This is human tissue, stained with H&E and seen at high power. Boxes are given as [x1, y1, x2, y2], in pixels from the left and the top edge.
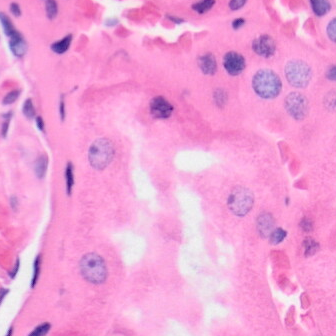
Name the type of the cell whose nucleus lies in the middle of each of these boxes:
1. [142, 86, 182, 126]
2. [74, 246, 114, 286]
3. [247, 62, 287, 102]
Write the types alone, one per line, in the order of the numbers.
proximal tubule cell
proximal tubule cell
loop of Henle or distal tubule cell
